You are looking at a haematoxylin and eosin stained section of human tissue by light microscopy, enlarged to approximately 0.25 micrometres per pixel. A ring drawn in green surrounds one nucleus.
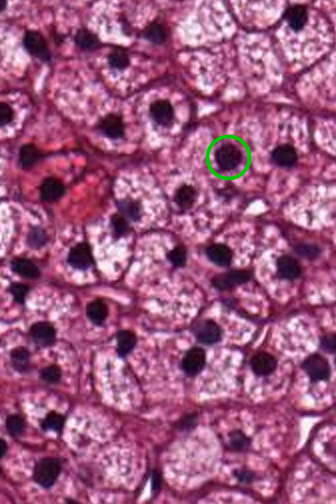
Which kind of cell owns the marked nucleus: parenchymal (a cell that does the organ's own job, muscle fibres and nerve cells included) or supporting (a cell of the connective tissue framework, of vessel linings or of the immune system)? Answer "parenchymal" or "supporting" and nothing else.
parenchymal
